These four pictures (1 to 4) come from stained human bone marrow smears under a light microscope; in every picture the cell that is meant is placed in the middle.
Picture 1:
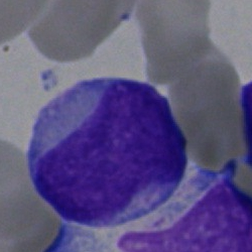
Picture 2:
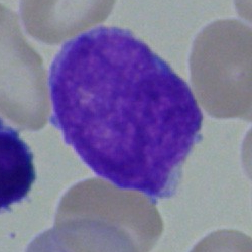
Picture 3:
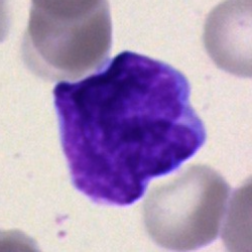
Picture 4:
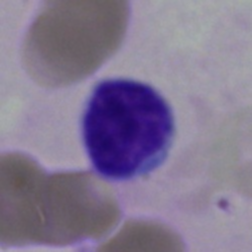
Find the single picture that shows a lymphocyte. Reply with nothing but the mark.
4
